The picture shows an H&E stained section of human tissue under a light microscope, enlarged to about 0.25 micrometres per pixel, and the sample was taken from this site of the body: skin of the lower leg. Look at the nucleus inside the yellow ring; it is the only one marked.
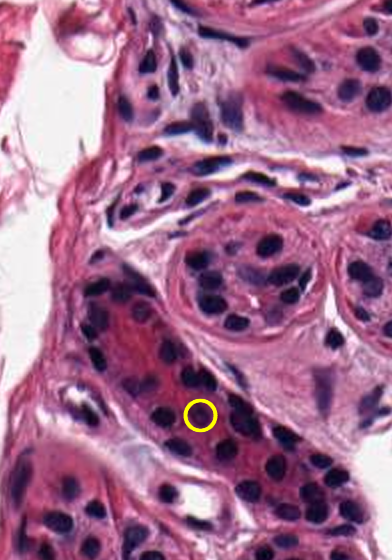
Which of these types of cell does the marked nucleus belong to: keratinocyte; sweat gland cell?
sweat gland cell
